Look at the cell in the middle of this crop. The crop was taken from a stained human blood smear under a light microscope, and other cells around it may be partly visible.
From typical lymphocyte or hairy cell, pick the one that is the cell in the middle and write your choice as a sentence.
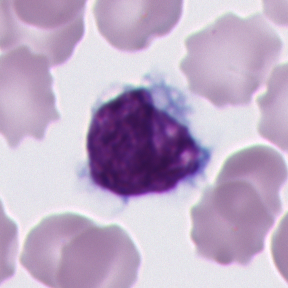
As for the cell in the middle, it is a hairy cell.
